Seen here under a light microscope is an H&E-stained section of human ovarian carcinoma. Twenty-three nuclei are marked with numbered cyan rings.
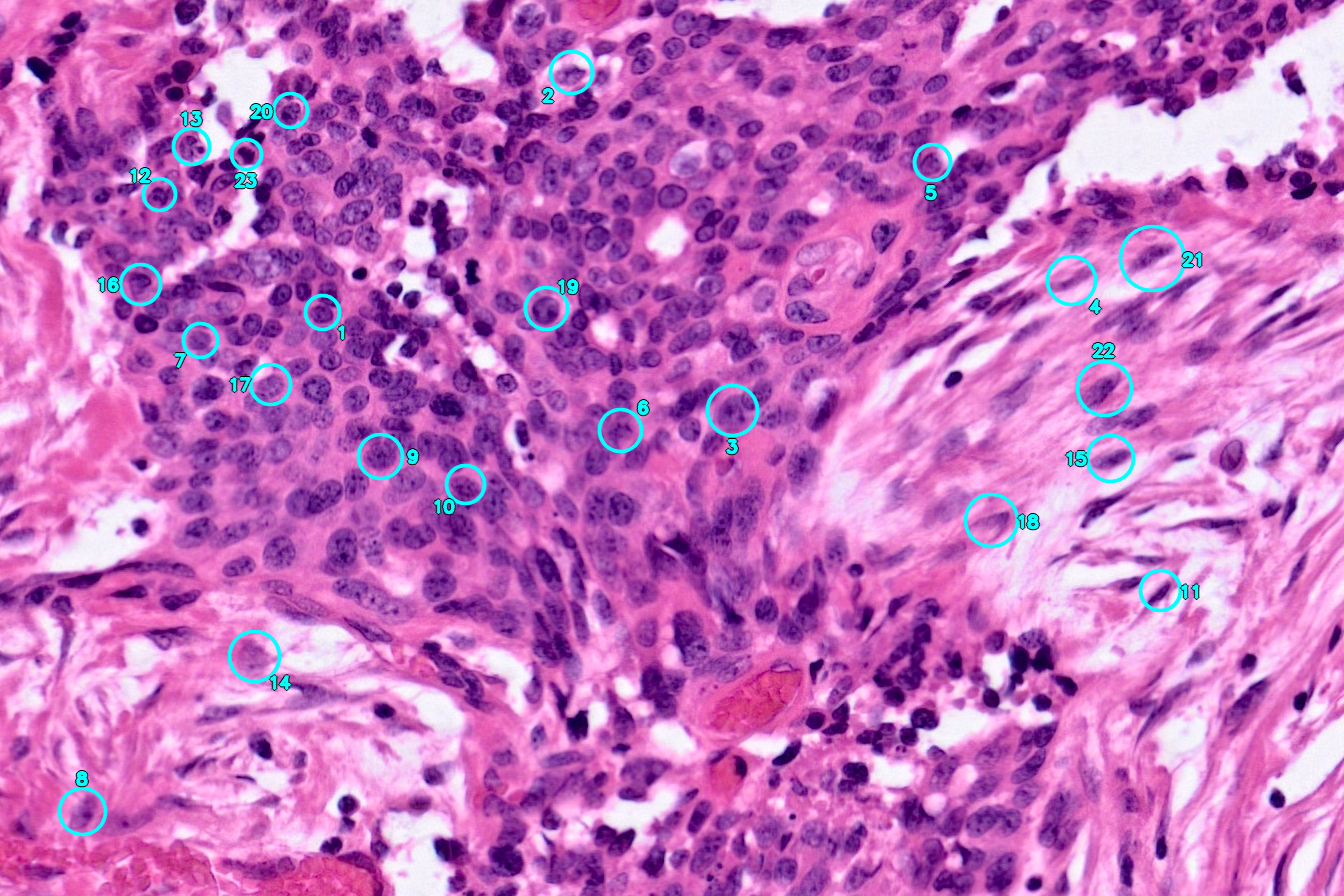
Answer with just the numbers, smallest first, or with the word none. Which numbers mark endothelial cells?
none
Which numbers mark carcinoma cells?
1, 3, 5, 6, 7, 9, 10, 16, 17, 19, 23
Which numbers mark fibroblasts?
4, 8, 11, 14, 15, 18, 21, 22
